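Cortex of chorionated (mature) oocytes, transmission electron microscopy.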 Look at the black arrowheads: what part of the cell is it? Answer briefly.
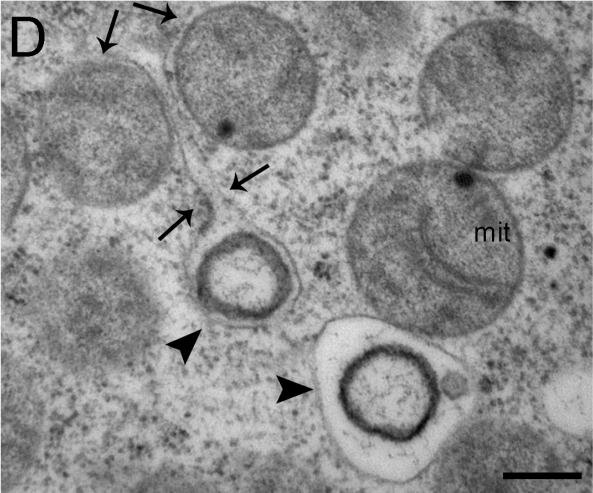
Autophagic organelles.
